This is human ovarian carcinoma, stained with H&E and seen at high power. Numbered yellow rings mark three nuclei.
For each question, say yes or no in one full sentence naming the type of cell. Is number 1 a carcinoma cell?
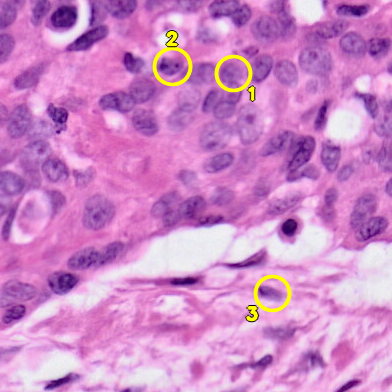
Yes, cell 1 among the marked cells is a carcinoma cell.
